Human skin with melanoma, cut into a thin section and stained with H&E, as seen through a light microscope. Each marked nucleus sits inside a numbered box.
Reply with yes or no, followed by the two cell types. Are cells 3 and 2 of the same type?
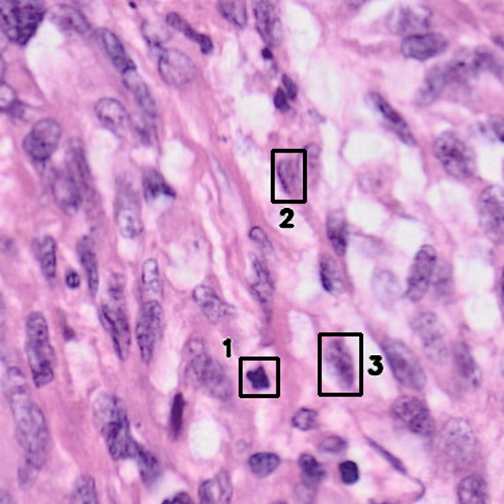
Yes, cells 3 and 2 both belong to the category of melanoma cells.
